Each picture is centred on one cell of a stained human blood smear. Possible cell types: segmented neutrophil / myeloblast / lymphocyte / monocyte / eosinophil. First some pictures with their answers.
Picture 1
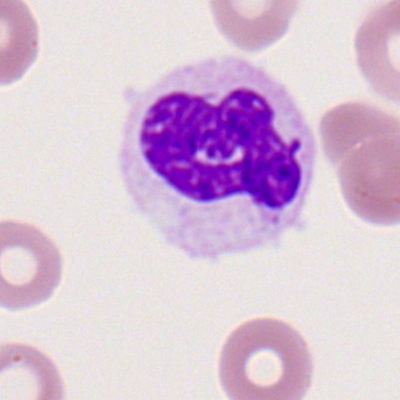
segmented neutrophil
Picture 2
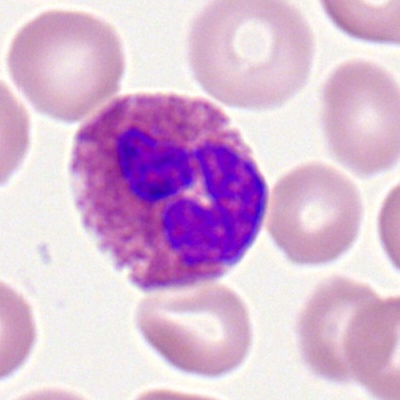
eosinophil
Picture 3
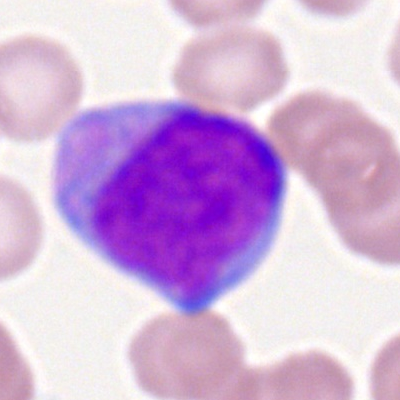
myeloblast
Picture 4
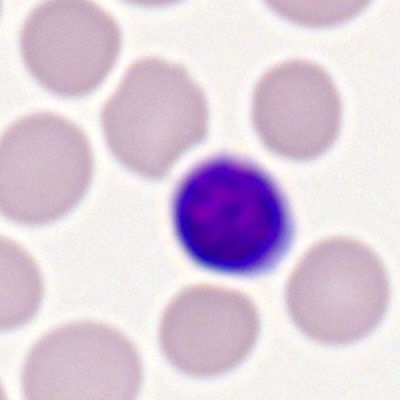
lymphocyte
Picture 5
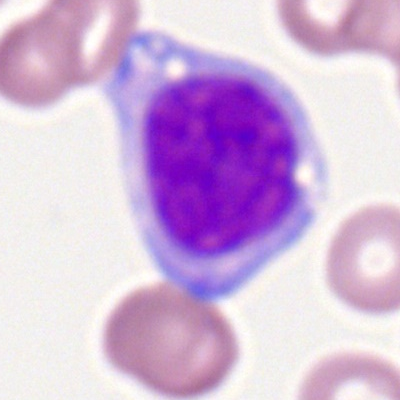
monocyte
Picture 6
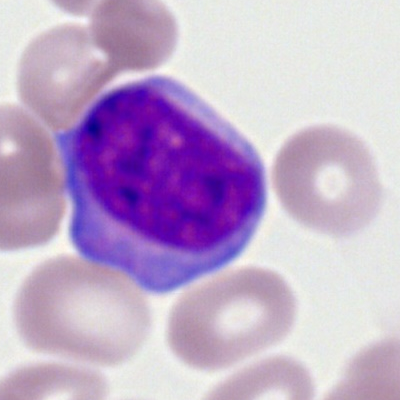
myeloblast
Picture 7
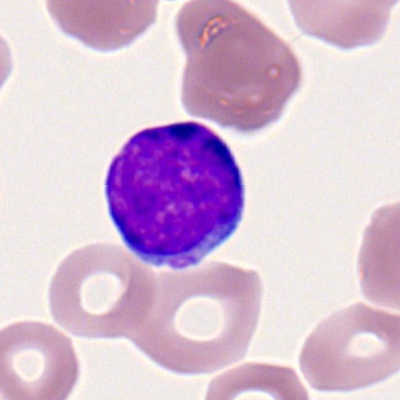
lymphocyte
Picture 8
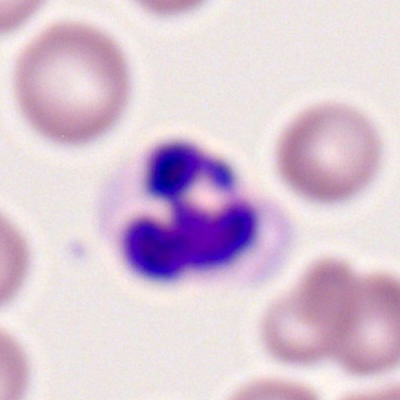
segmented neutrophil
